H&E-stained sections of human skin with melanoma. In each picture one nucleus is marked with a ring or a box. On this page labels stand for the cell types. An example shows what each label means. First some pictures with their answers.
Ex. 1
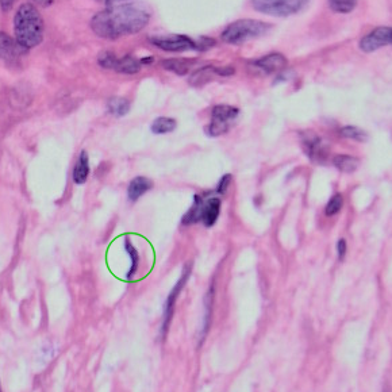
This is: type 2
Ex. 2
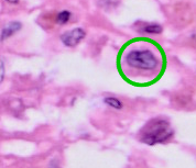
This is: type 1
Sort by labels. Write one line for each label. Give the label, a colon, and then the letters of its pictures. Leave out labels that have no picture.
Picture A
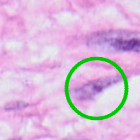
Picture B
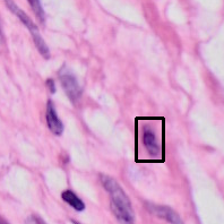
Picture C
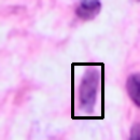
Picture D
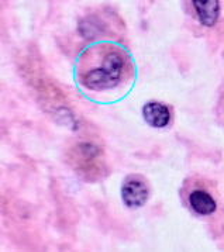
type 2: A
type 1: B, C, D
